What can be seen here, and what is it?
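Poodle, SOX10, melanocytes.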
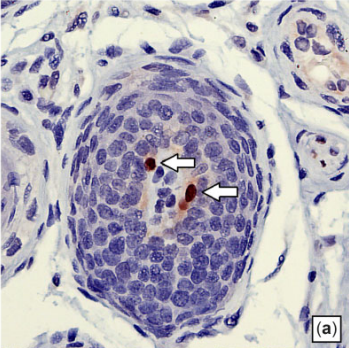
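A round cross section of a hair follicle bulb, made of tightly packed epithelial cells with oval blue nuclei, lies in loose pale connective tissue. Near the centre, beside a small lumen, two cells have intensely dark brown nuclei, standing out against the blue nuclei of all their neighbours. No dark pigment is seen in the surrounding cells. Small blood vessels and spindle cells lie in the tissue around the follicle.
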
